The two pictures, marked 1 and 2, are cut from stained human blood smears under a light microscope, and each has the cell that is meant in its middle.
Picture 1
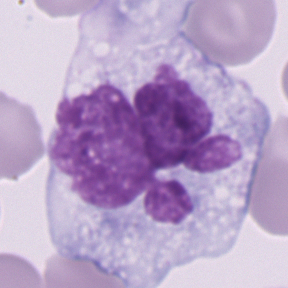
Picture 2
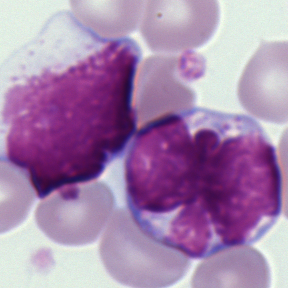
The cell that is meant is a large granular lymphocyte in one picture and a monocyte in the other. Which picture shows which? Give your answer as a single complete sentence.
In picture 1 the cell is a monocyte; in picture 2, a large granular lymphocyte.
